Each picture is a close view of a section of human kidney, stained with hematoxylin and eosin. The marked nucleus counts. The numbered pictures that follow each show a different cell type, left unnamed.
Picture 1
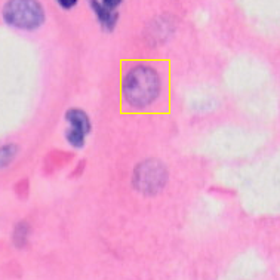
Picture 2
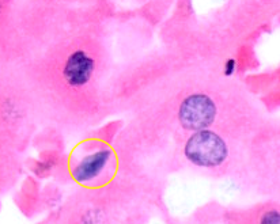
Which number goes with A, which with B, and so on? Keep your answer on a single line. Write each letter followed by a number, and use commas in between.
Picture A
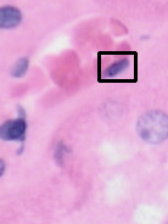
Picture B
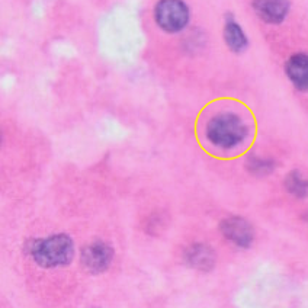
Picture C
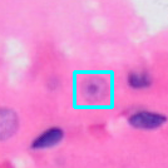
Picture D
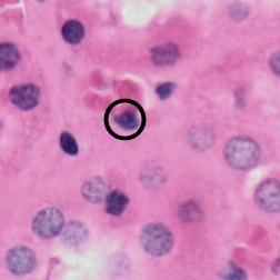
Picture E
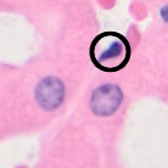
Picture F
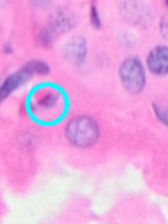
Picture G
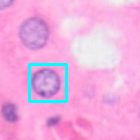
A 2, B 1, C 1, D 2, E 2, F 2, G 1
